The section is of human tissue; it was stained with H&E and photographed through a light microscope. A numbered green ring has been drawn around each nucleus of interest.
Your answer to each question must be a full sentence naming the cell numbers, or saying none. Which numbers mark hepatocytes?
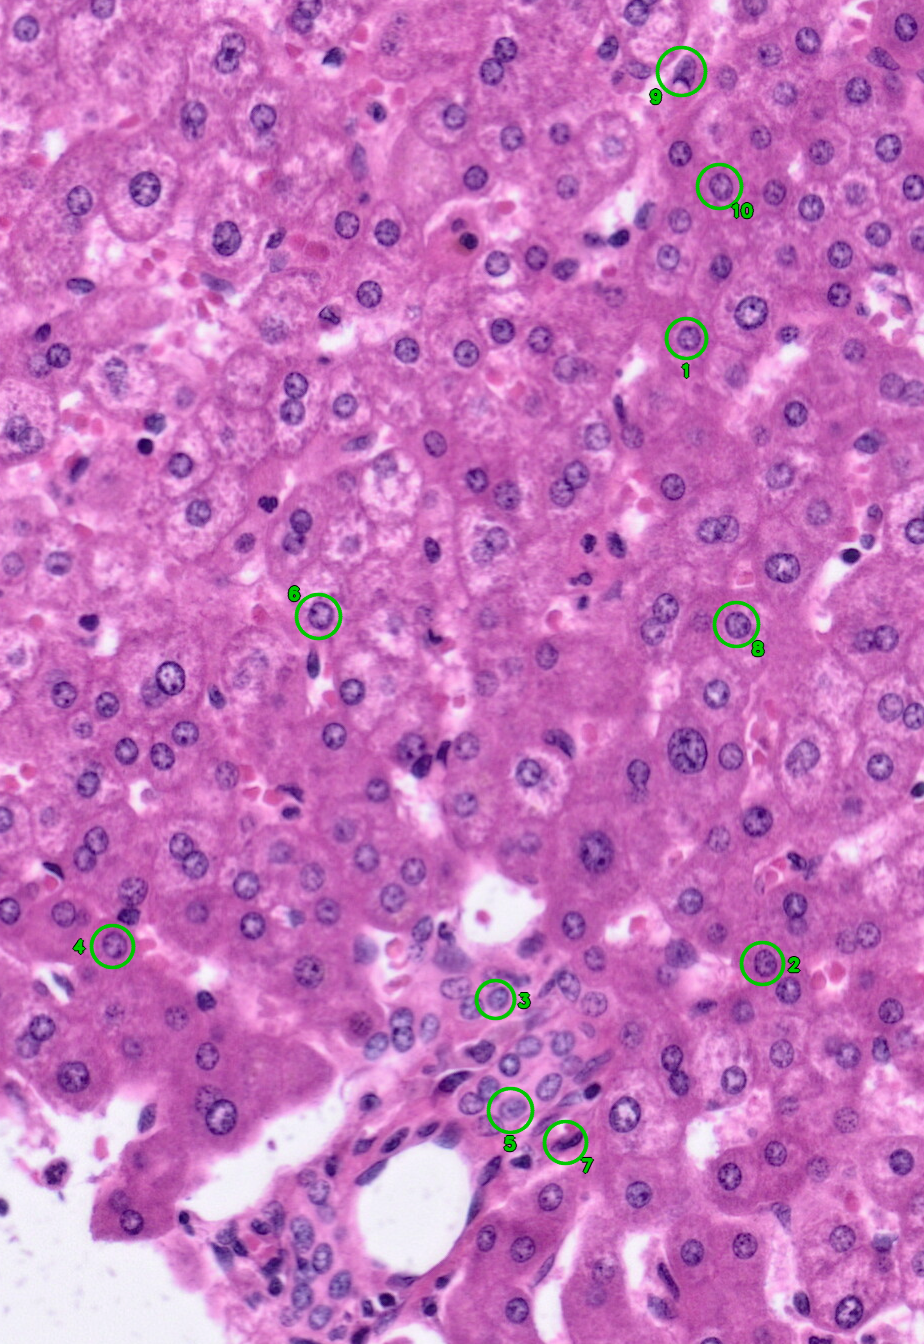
The cells assigned the numbers 1, 2, 4, 6, 8 and 10 are hepatocytes.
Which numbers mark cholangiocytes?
The cells 3 and 5 in this section are cholangiocytes.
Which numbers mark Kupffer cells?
The nucleus labelled 9 alone belongs to a Kupffer cell; the other marked nuclei do not.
